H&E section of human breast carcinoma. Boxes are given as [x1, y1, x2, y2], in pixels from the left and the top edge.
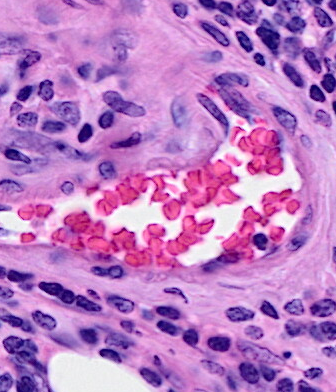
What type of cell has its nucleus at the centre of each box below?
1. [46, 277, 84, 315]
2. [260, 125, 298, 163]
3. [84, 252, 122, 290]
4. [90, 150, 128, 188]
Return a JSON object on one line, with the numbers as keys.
{"1": "lymphocyte", "2": "endothelial cell", "3": "endothelial cell", "4": "endothelial cell"}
